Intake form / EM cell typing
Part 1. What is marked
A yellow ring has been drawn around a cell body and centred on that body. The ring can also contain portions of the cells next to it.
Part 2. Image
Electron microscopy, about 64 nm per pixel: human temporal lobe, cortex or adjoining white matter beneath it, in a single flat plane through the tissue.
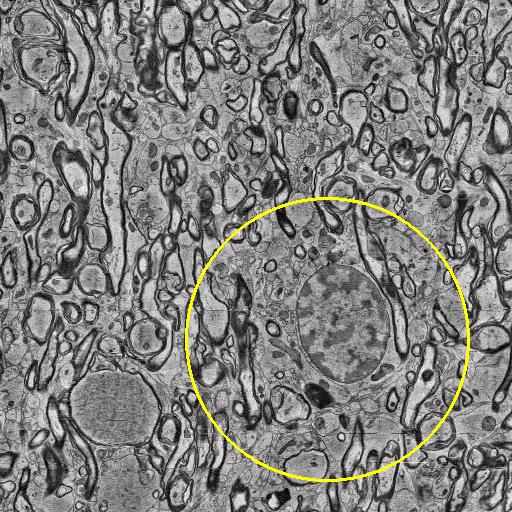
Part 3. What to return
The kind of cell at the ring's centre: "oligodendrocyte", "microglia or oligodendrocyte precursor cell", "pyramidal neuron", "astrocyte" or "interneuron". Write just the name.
microglia or oligodendrocyte precursor cell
